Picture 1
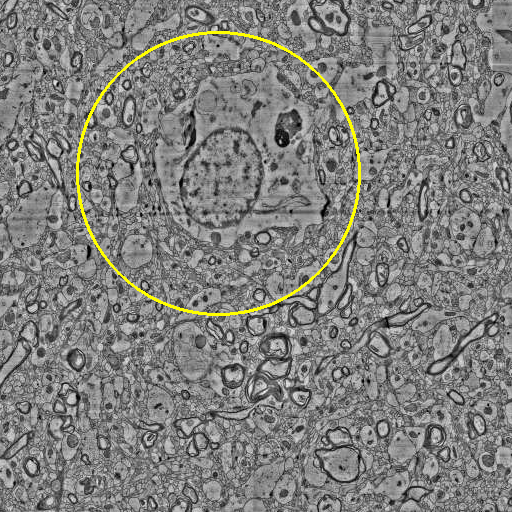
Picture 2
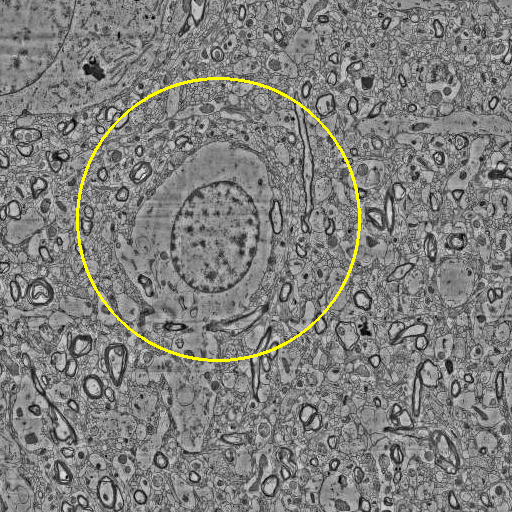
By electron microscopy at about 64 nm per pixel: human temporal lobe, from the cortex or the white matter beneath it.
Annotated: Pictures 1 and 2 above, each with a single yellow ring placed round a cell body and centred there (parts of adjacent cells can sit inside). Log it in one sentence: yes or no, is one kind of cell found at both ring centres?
Yes, the ring centres of the two pictures hold cells of one kind.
